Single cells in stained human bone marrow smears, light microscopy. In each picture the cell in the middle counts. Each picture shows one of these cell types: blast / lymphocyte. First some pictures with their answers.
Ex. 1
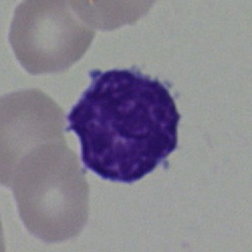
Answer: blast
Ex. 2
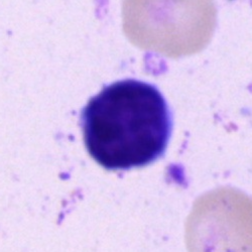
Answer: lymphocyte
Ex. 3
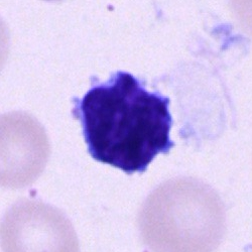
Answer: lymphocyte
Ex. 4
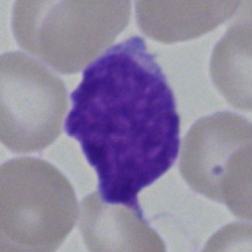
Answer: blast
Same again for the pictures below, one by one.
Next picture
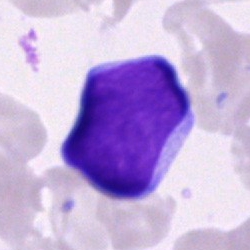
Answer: blast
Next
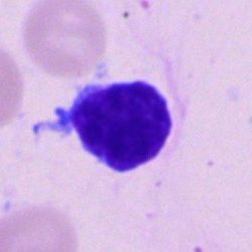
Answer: lymphocyte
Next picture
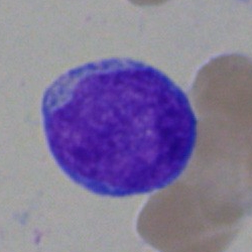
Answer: blast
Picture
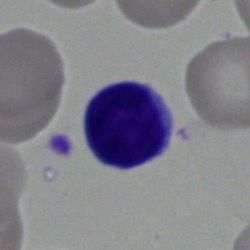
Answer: lymphocyte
